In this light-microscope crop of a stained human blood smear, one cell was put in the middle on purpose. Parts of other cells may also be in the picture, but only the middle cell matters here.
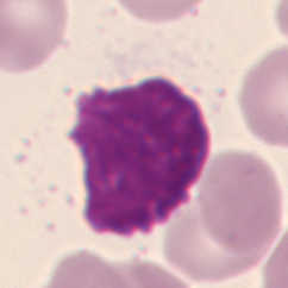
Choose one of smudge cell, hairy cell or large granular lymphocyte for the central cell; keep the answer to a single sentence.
The centrally positioned cell in the crop represents a smudge cell.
